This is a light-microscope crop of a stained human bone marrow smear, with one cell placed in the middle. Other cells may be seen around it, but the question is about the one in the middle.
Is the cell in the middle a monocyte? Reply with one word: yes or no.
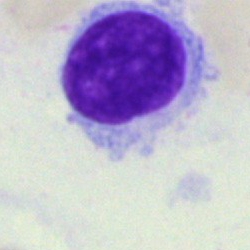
no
